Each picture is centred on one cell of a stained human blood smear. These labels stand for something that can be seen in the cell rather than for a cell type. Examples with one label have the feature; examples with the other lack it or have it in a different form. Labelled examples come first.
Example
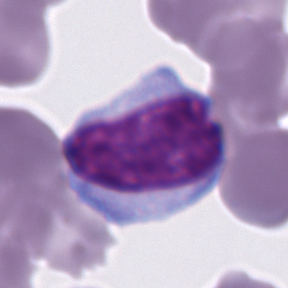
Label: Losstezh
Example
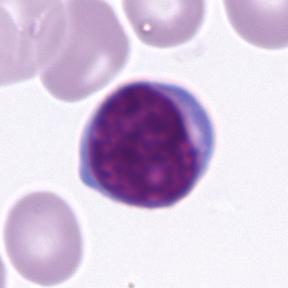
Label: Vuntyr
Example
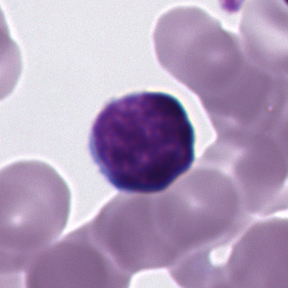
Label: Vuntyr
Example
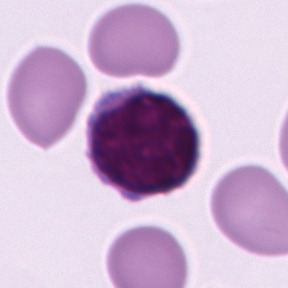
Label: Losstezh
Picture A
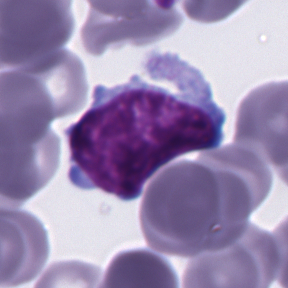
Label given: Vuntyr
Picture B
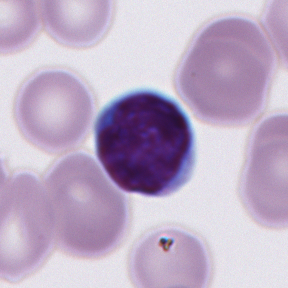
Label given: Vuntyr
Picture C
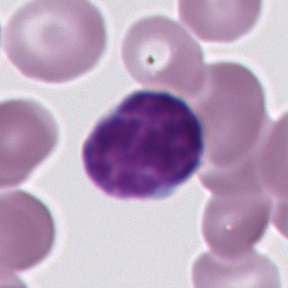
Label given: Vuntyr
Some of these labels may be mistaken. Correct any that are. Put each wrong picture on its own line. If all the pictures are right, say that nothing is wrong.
A is labelled Vuntyr; correct label: Losstezh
